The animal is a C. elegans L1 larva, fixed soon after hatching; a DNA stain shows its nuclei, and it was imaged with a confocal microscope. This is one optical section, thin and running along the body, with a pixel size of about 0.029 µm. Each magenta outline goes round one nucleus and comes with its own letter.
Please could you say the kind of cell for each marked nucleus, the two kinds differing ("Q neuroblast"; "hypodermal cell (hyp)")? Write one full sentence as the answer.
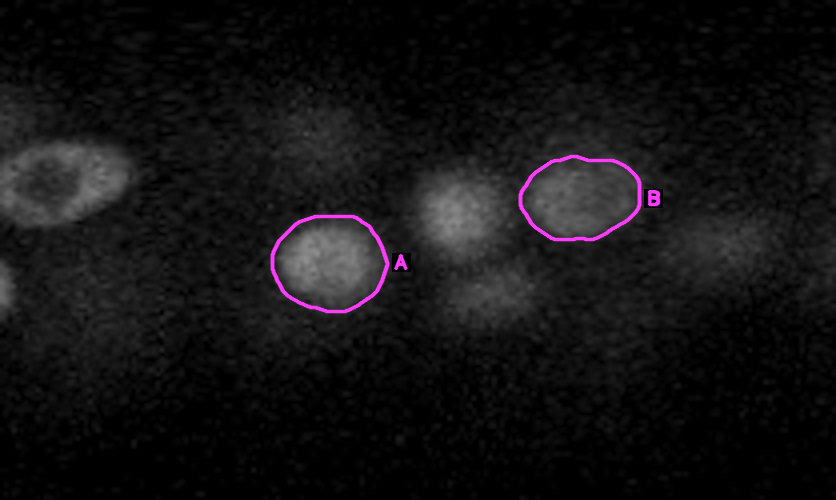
A is the nucleus of a Q neuroblast; B is the nucleus of a hypodermal cell (hyp).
